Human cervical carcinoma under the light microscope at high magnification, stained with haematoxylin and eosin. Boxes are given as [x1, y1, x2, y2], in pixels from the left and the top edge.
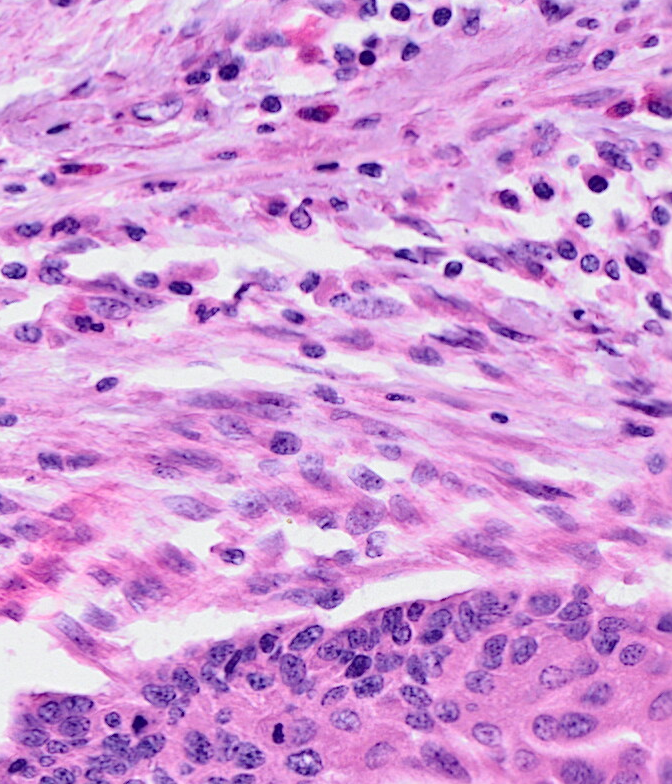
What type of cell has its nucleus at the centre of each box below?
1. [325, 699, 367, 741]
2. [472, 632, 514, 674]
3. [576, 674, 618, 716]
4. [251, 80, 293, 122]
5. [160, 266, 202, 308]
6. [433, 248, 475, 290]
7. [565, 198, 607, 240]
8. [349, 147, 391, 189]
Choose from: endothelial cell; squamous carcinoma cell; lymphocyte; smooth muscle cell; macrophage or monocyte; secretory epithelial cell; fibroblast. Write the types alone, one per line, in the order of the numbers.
squamous carcinoma cell
squamous carcinoma cell
squamous carcinoma cell
lymphocyte
lymphocyte
lymphocyte
lymphocyte
lymphocyte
